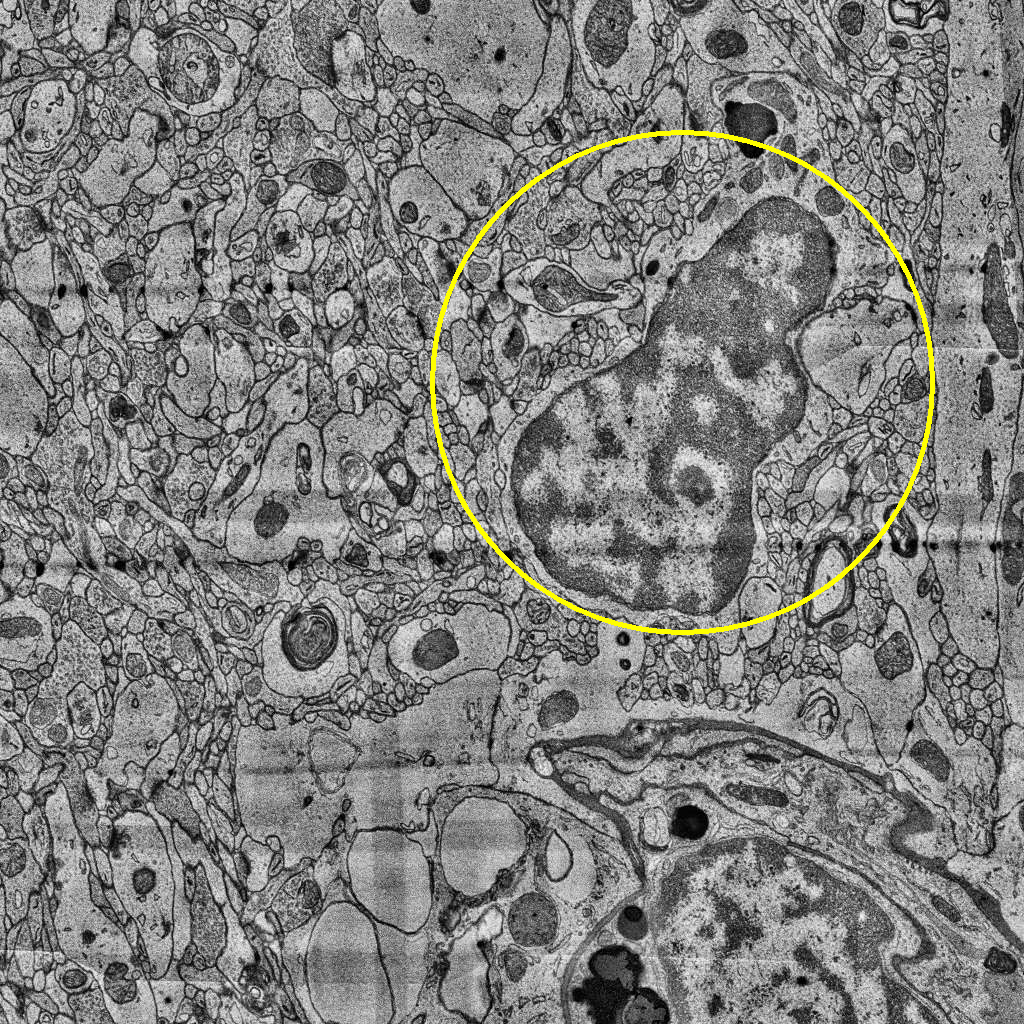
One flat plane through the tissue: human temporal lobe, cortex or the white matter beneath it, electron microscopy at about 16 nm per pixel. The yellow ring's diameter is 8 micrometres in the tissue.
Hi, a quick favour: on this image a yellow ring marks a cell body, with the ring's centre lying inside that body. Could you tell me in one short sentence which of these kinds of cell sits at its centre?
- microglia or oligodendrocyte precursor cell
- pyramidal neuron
The ring's centre lies in a microglial cell or oligodendrocyte precursor cell.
